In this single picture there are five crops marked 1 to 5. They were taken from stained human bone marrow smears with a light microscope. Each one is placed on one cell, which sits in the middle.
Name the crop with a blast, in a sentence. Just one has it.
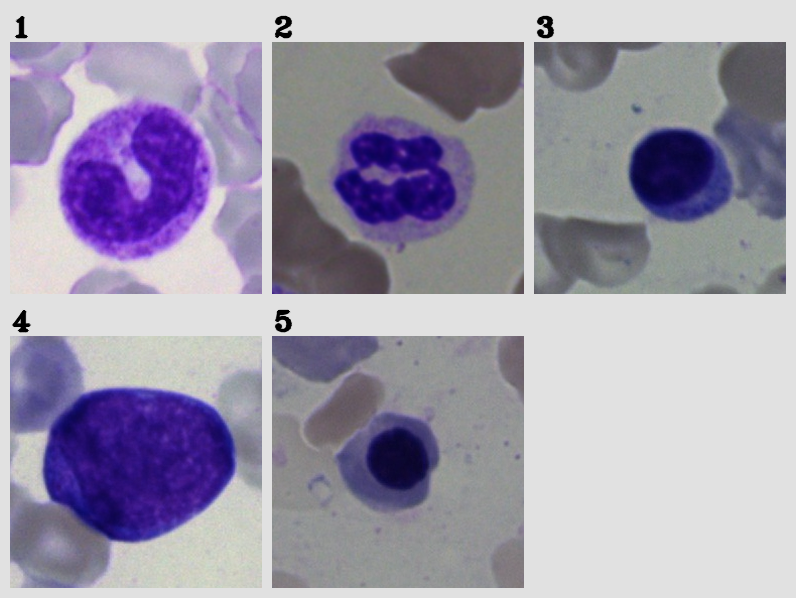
The crop in which a blast is shown is crop 4.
